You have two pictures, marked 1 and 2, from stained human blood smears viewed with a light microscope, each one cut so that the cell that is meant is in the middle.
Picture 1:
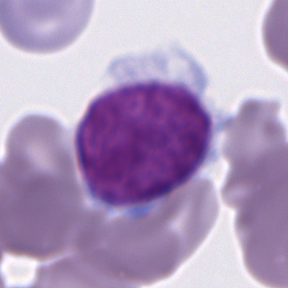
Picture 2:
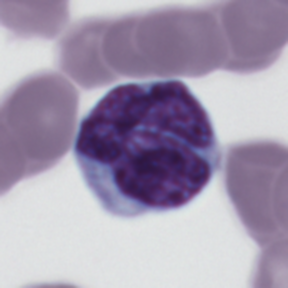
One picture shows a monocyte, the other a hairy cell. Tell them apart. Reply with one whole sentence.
Picture 1 is of a hairy cell, and picture 2 is of a monocyte.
